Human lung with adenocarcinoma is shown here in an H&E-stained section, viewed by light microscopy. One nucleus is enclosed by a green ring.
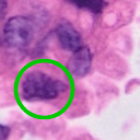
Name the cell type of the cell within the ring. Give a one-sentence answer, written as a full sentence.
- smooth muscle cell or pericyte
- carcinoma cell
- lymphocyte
The cell type of the cell within the ring is that of a carcinoma cell.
